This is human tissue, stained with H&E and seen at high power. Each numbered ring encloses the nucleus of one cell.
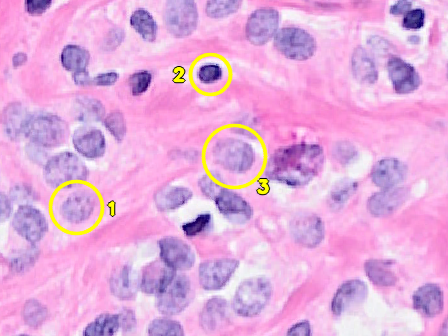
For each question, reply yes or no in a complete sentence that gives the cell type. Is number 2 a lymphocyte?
Yes, the marked cell with number 2 is a lymphocyte.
